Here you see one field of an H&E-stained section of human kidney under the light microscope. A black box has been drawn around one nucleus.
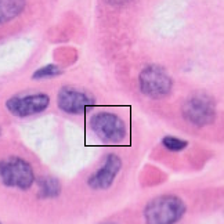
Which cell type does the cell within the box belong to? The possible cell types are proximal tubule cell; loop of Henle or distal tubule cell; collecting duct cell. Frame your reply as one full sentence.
In short, the cell within the box on this section is a collecting duct cell.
